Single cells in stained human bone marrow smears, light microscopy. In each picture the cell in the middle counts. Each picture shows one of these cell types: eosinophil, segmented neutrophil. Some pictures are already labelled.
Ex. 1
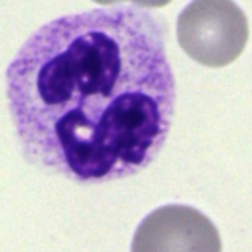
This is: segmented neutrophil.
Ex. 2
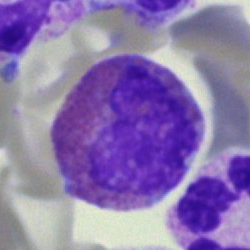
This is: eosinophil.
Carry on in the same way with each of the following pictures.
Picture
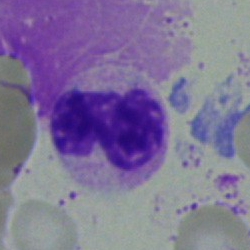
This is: segmented neutrophil.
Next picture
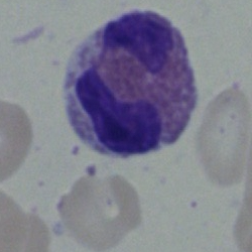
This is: eosinophil.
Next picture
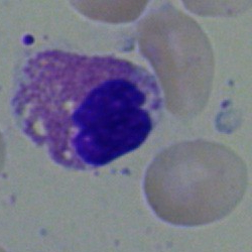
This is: eosinophil.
